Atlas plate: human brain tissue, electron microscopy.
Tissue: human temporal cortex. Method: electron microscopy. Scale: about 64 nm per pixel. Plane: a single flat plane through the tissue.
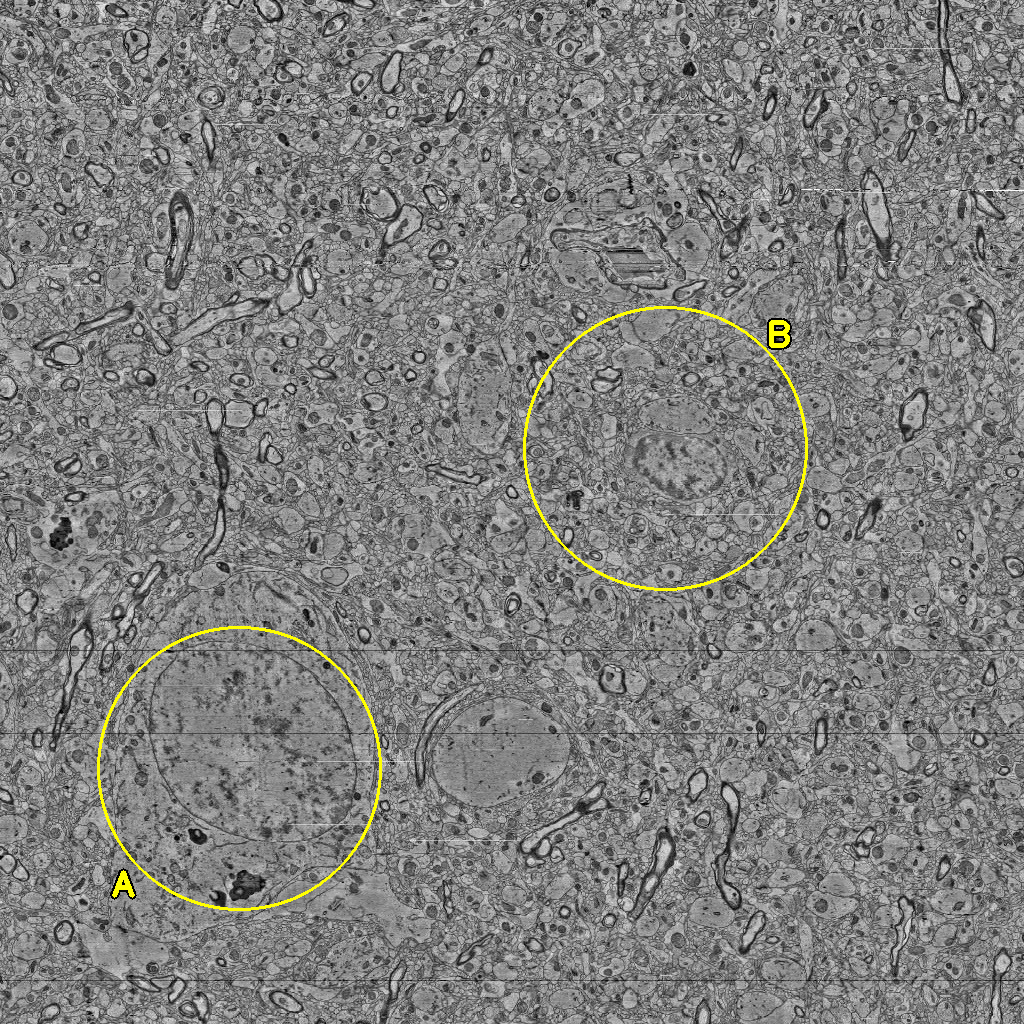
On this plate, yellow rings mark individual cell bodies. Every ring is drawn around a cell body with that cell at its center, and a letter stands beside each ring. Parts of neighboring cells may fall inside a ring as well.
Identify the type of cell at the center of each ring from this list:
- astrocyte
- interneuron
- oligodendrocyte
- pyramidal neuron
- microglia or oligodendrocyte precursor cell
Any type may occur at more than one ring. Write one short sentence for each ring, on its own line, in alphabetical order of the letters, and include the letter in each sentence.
At the center of ring A lies a pyramidal neuron.
At the center of ring B lies an oligodendrocyte.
